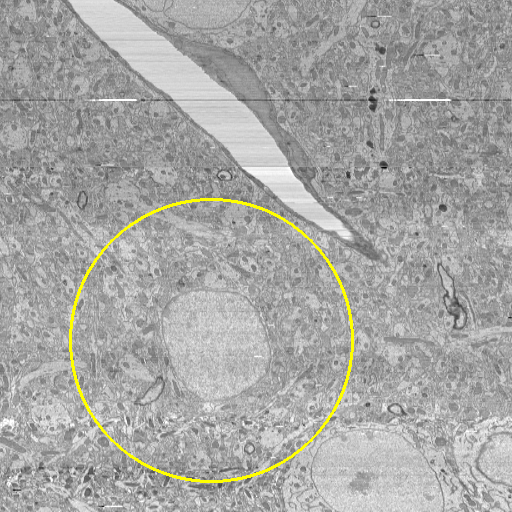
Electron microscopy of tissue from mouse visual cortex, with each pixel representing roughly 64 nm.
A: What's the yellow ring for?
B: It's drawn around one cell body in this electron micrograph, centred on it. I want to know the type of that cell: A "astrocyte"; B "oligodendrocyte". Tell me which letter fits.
A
